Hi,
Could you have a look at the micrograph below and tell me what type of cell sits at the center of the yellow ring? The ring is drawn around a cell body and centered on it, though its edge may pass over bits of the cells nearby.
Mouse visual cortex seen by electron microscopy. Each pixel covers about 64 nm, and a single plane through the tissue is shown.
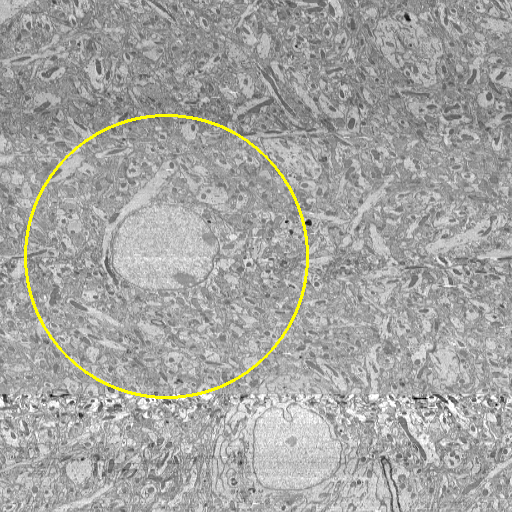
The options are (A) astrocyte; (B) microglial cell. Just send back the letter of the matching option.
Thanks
A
